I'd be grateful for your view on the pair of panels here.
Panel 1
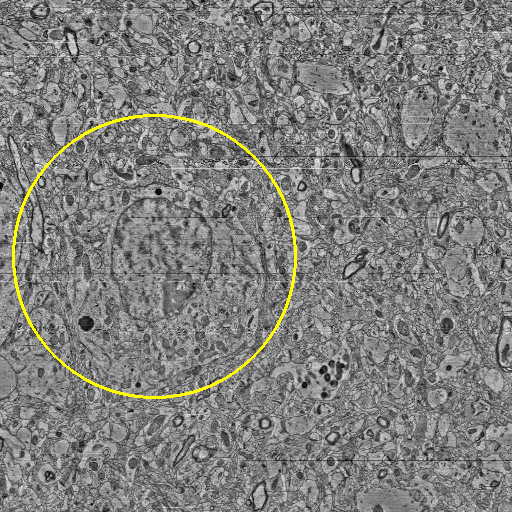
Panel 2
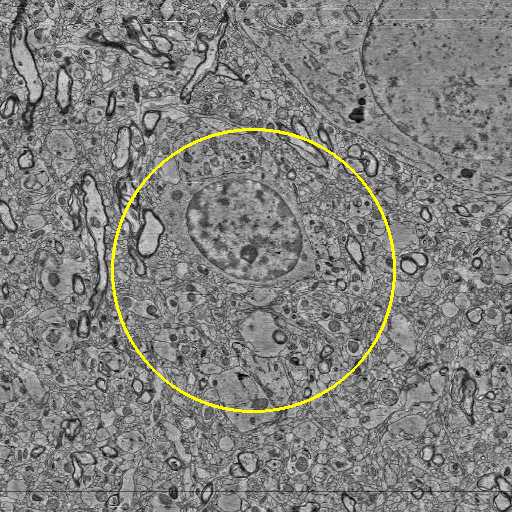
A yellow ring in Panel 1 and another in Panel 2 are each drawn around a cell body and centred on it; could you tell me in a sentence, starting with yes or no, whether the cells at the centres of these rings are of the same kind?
No, they are two kinds of cell.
